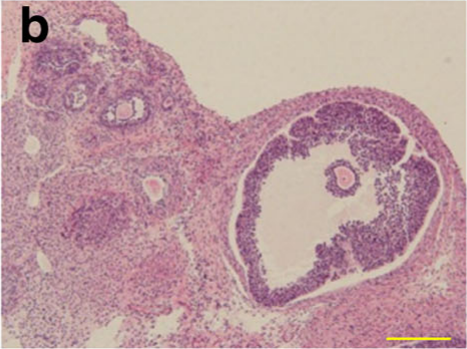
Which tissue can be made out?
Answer: Ovary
